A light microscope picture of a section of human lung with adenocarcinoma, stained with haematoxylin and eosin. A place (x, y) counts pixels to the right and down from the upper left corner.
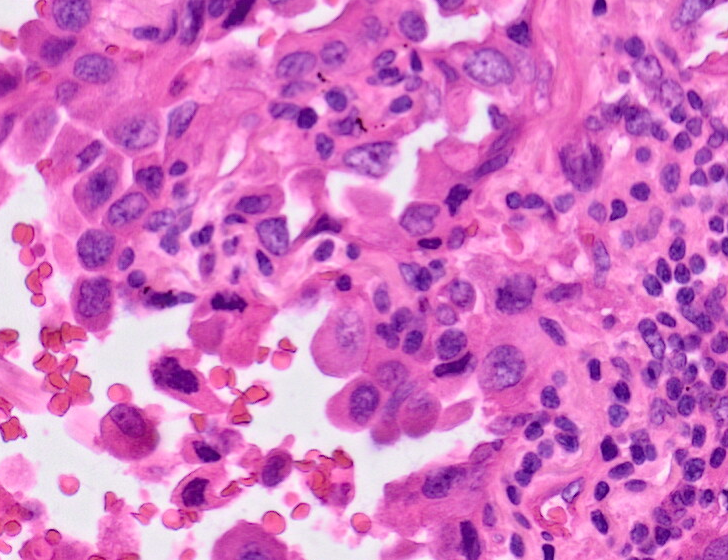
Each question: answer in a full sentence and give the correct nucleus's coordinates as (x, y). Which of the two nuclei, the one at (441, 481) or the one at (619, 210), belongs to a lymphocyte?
The nucleus belonging to a lymphocyte is the one at (619, 210).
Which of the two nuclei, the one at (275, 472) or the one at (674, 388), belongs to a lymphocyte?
The nucleus located at (674, 388) is the one held within a lymphocyte.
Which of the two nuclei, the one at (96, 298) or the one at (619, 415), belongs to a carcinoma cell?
The nucleus that sits at (96, 298) is the nucleus of a carcinoma cell.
